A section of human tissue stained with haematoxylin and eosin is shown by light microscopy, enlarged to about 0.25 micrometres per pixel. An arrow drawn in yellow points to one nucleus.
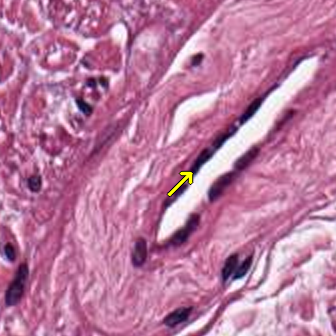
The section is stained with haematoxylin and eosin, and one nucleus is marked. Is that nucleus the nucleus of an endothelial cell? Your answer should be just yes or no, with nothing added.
yes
